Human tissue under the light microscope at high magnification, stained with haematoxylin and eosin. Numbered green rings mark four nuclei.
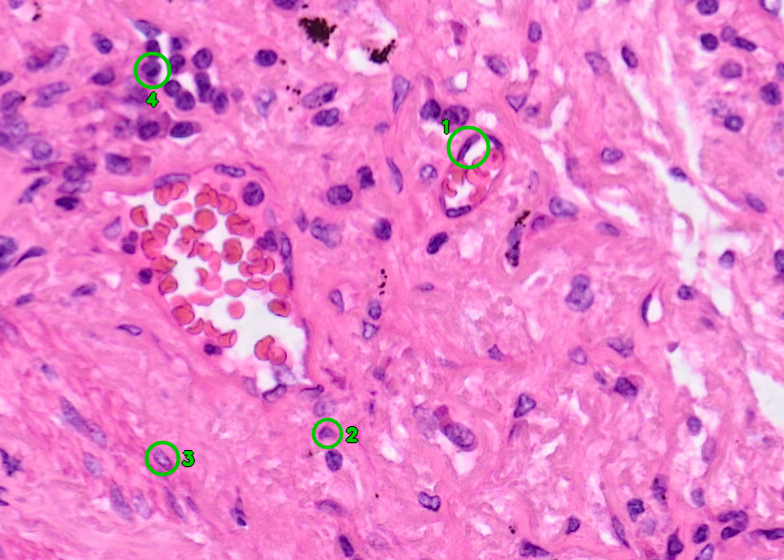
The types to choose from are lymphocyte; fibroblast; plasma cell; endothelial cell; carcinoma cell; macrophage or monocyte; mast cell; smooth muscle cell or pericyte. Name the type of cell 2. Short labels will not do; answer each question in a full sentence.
Cell 2 should be recorded as a mast cell.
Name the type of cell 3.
As for number 3, that cell is a smooth muscle cell or pericyte.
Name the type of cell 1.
Cell 1, as marked in the section, is an endothelial cell.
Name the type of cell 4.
Cell 4 in the field is a lymphocyte.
